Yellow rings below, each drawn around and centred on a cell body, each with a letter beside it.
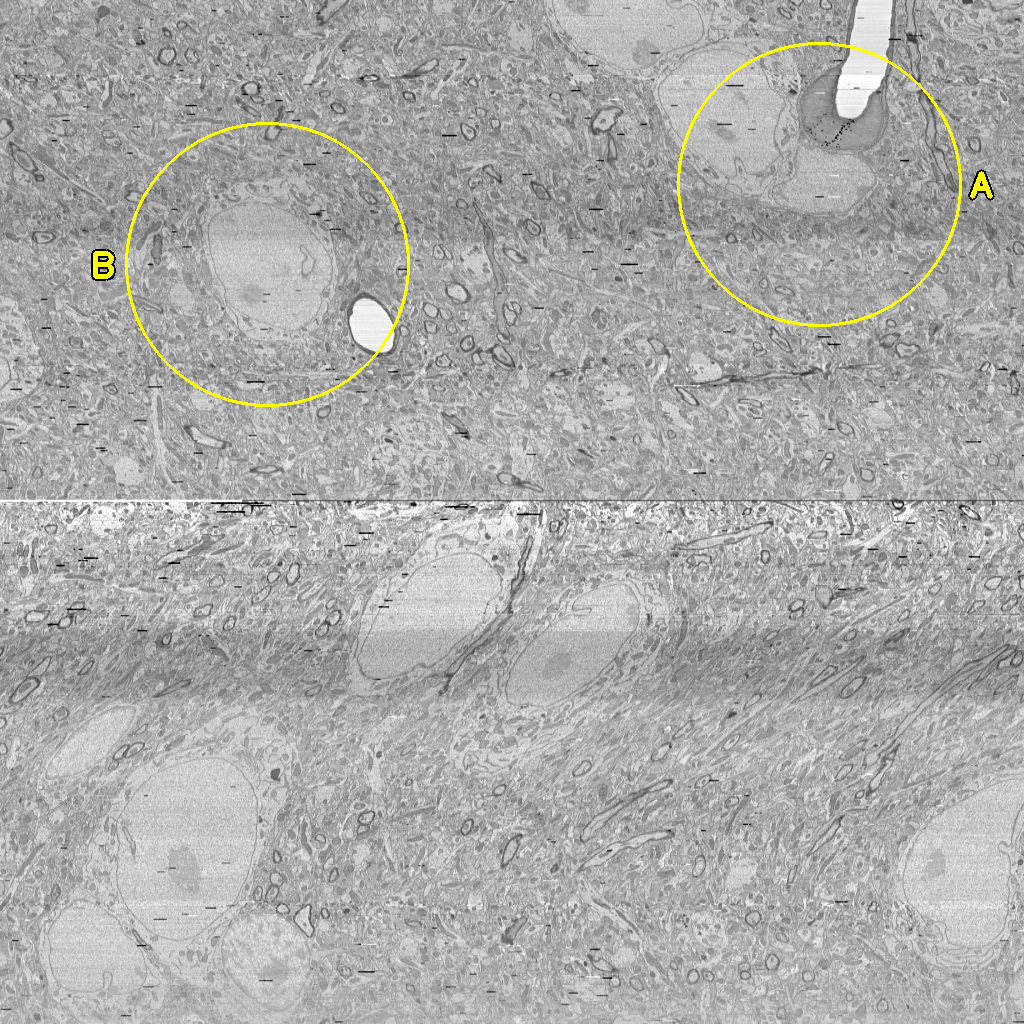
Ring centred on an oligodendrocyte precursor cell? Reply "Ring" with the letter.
Ring A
